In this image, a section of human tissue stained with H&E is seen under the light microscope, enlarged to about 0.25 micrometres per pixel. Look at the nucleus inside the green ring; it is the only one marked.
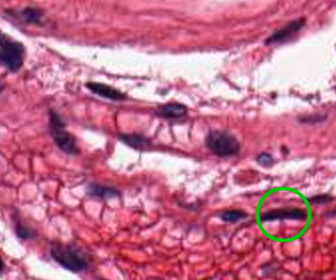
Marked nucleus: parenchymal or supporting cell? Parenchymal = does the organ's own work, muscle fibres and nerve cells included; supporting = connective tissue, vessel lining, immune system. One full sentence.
Located within a supporting cell is the nucleus that has been marked.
